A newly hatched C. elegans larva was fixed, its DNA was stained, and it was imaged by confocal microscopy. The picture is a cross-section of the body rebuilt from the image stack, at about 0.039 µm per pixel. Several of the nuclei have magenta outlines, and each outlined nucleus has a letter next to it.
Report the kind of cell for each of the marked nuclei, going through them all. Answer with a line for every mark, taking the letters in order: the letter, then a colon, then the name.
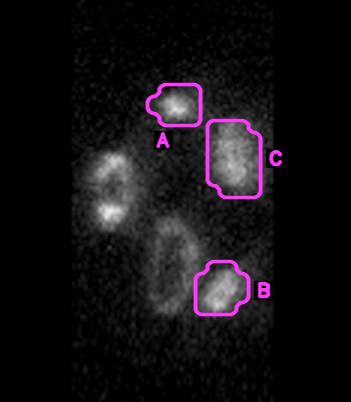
A: coelomocyte
B: body wall muscle cell
C: seam cell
